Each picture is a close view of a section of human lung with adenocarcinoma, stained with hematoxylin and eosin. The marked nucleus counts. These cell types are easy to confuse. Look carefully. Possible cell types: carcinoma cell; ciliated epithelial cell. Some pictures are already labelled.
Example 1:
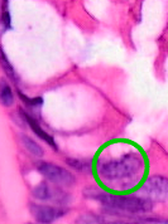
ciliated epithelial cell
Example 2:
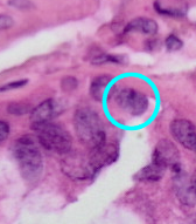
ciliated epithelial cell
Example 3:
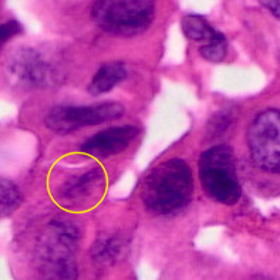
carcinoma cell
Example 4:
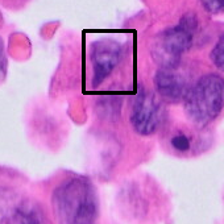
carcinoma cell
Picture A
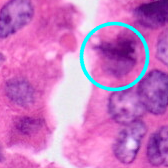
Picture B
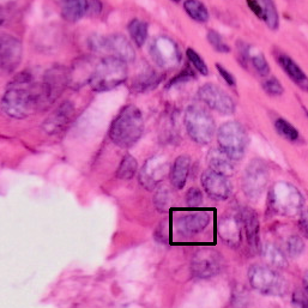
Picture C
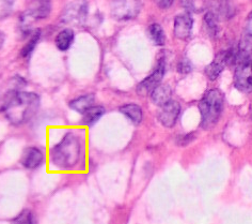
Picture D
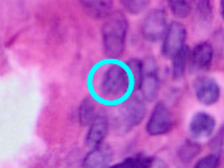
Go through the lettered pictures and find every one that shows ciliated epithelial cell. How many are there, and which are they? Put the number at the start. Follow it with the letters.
Count: 3 (B, C, D)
